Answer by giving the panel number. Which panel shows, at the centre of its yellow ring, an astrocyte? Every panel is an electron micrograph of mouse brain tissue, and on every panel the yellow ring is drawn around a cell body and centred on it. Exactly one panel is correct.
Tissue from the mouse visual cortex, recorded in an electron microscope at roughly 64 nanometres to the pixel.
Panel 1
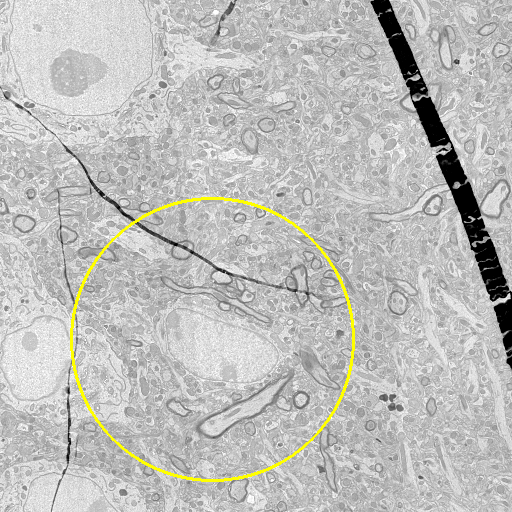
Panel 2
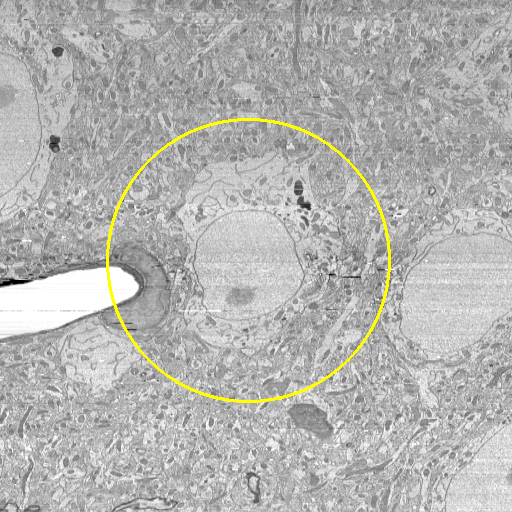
1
